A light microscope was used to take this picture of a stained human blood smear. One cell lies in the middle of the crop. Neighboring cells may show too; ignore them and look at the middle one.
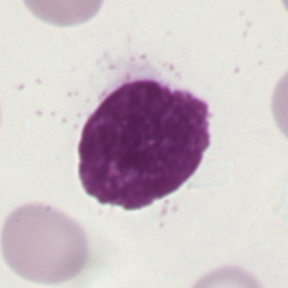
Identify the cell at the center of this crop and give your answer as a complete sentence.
Seen at the centre of the crop is a smudge cell.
